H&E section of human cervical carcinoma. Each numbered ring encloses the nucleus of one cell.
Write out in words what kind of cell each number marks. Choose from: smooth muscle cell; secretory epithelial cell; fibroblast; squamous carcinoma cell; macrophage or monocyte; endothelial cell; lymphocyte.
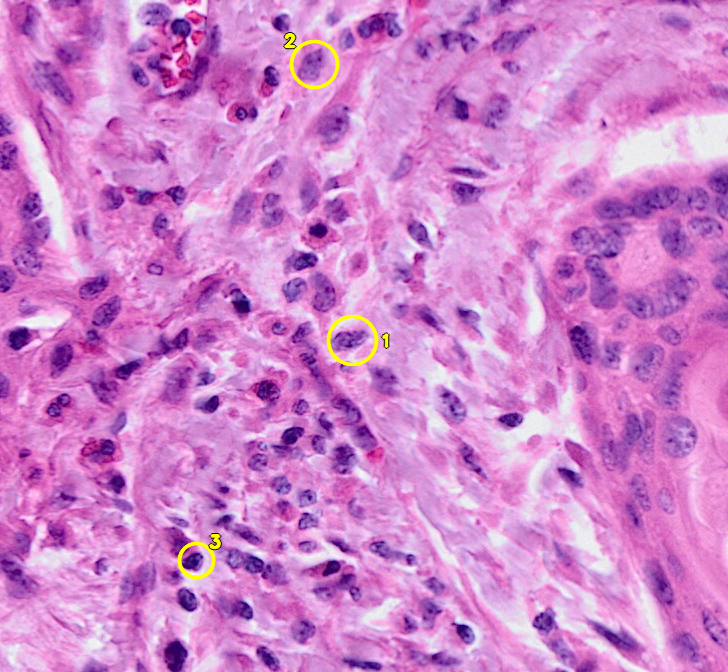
Cells 1 and 2 are macrophages or monocytes. Cell 3 is a lymphocyte.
